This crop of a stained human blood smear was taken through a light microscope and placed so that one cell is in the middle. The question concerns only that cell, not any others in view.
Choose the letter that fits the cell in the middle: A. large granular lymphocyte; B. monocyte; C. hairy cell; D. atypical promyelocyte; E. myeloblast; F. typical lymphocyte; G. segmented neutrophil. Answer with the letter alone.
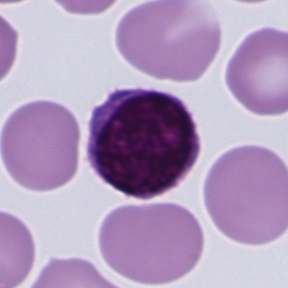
F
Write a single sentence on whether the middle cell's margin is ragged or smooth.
The periphery of this cell is uneven, with ragged portions or projections.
